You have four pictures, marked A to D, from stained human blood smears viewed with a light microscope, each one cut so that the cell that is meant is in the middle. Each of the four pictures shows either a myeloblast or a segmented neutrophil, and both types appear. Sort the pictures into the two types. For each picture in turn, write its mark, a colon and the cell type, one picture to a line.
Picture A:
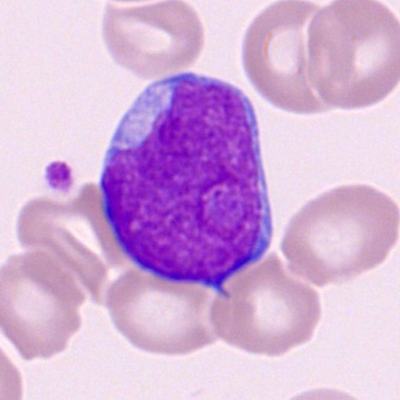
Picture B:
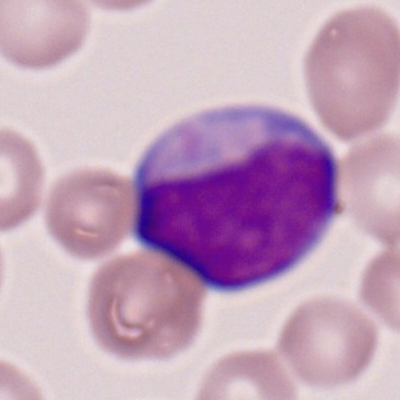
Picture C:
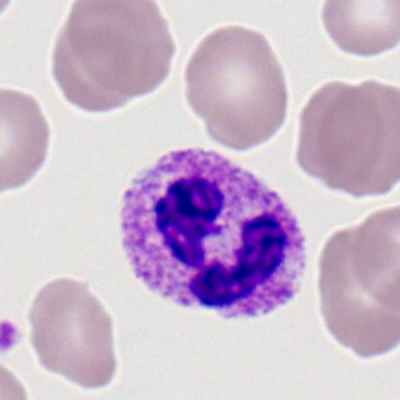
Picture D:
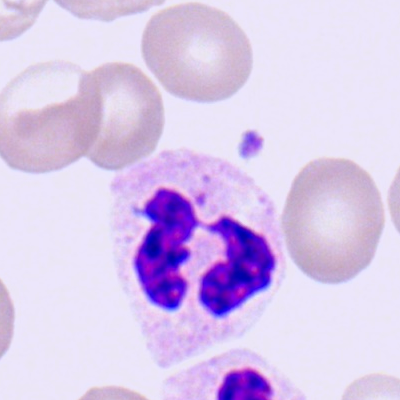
A: myeloblast
B: myeloblast
C: segmented neutrophil
D: segmented neutrophil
